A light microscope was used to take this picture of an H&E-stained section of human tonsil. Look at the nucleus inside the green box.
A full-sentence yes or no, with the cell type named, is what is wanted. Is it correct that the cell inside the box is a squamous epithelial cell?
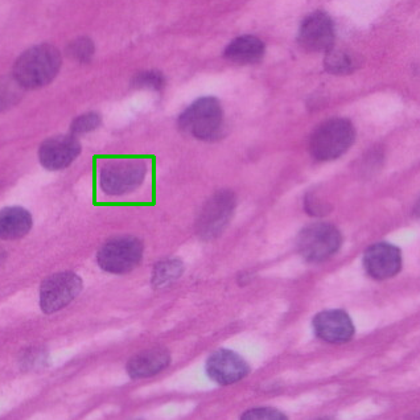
Yes, the cell inside the box counts as a squamous epithelial cell in this tissue.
